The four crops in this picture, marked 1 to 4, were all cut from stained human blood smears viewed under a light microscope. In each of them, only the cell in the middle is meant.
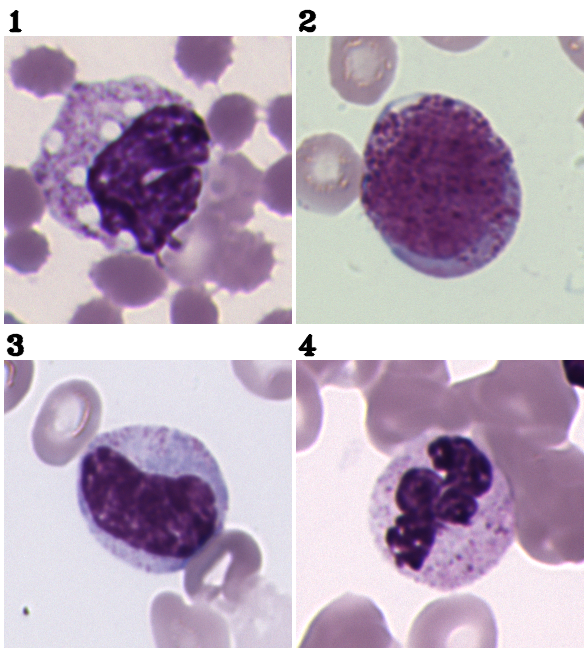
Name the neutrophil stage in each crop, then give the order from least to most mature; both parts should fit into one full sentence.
From the least mature to the most mature, the sequence runs crop 2 (a promyelocyte), crop 3 (a metamyelocyte), crop 1 (a band neutrophil) and crop 4 (a segmented neutrophil).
